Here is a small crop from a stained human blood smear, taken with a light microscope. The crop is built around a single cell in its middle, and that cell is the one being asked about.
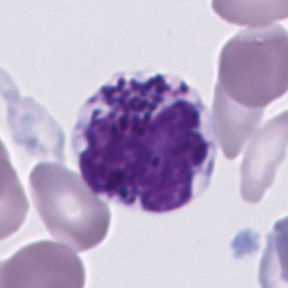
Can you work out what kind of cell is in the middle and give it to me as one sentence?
For this crop, the central cell is a basophil.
